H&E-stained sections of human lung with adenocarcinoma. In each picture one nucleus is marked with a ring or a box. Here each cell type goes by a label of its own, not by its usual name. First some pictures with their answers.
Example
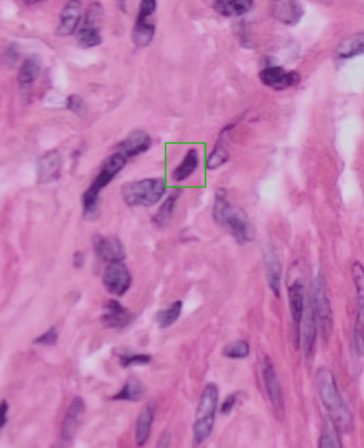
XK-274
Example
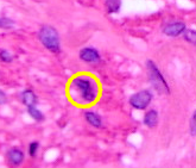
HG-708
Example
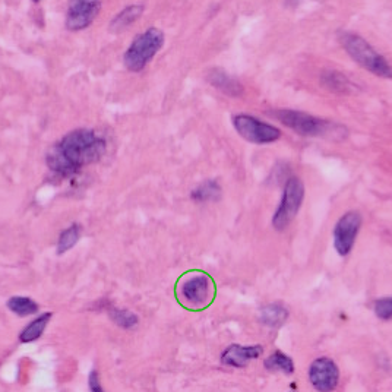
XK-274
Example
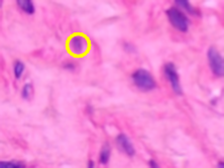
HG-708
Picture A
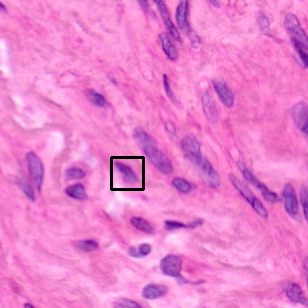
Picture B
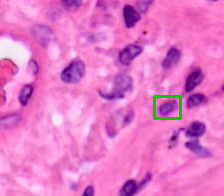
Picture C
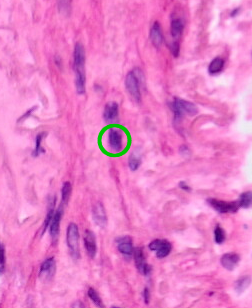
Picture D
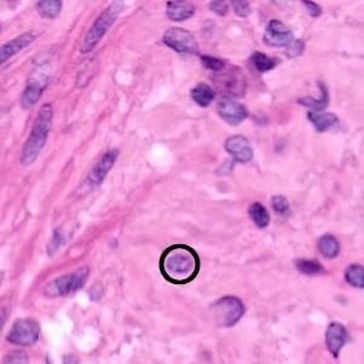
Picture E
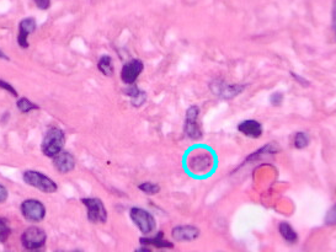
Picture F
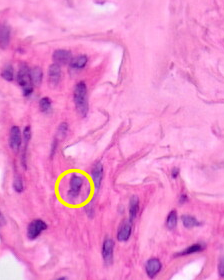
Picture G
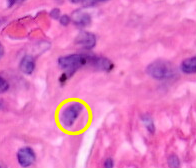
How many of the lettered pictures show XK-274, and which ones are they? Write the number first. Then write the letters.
Count: 4 (B, D, E, G)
